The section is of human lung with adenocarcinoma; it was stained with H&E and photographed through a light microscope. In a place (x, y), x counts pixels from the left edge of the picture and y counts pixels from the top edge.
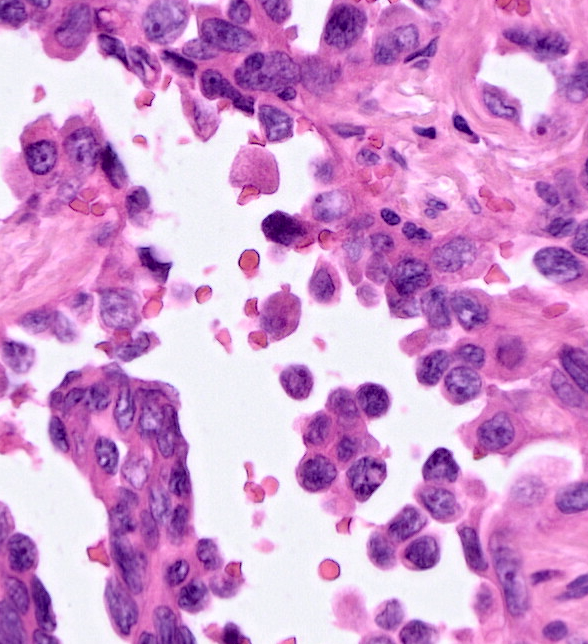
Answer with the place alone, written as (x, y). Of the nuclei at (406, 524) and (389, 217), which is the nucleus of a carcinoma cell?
(406, 524)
